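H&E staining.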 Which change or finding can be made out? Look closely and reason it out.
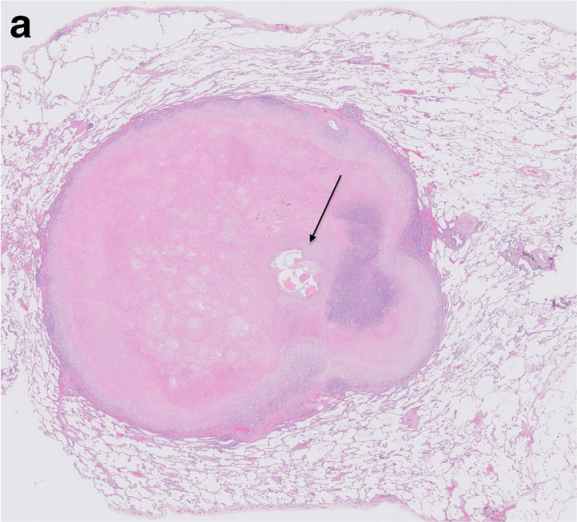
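A round, well-circumscribed nodule sits within loose, spongy lung tissue. The nodule centre is pale pink and largely acellular. A darker bluish rim and patch lie at the nodule edge.
Hence: necrotic pink nodule.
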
